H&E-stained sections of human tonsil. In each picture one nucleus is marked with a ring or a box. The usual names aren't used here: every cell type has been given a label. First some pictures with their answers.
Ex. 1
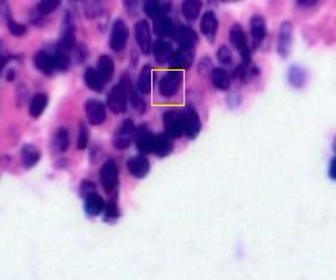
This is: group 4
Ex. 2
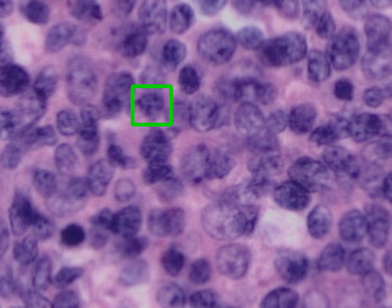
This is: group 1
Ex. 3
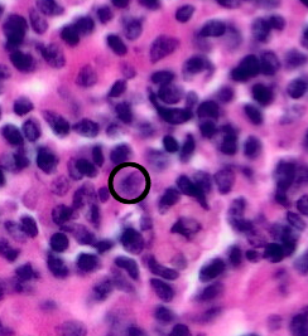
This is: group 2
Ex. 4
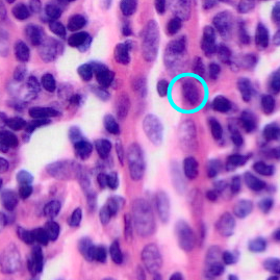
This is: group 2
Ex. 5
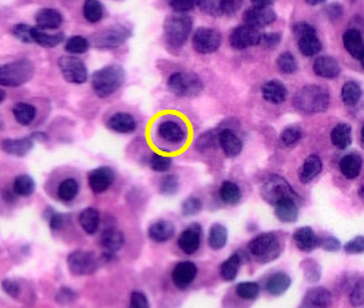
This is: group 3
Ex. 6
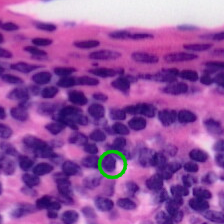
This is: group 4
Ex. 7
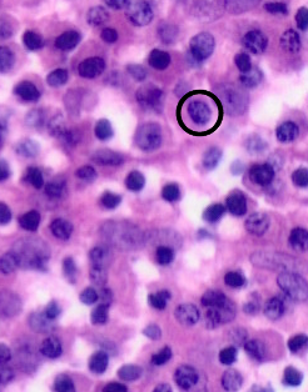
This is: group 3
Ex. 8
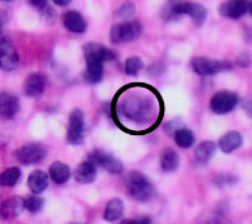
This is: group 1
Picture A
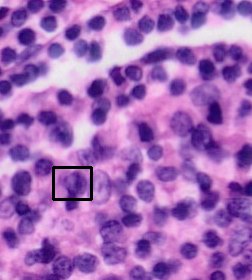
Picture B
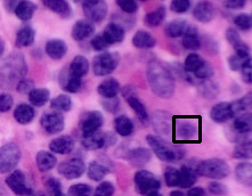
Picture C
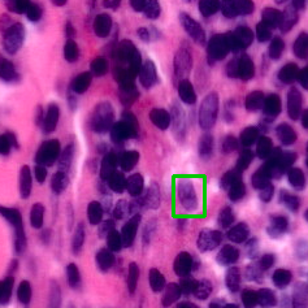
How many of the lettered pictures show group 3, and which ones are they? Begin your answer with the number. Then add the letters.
0, none of them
